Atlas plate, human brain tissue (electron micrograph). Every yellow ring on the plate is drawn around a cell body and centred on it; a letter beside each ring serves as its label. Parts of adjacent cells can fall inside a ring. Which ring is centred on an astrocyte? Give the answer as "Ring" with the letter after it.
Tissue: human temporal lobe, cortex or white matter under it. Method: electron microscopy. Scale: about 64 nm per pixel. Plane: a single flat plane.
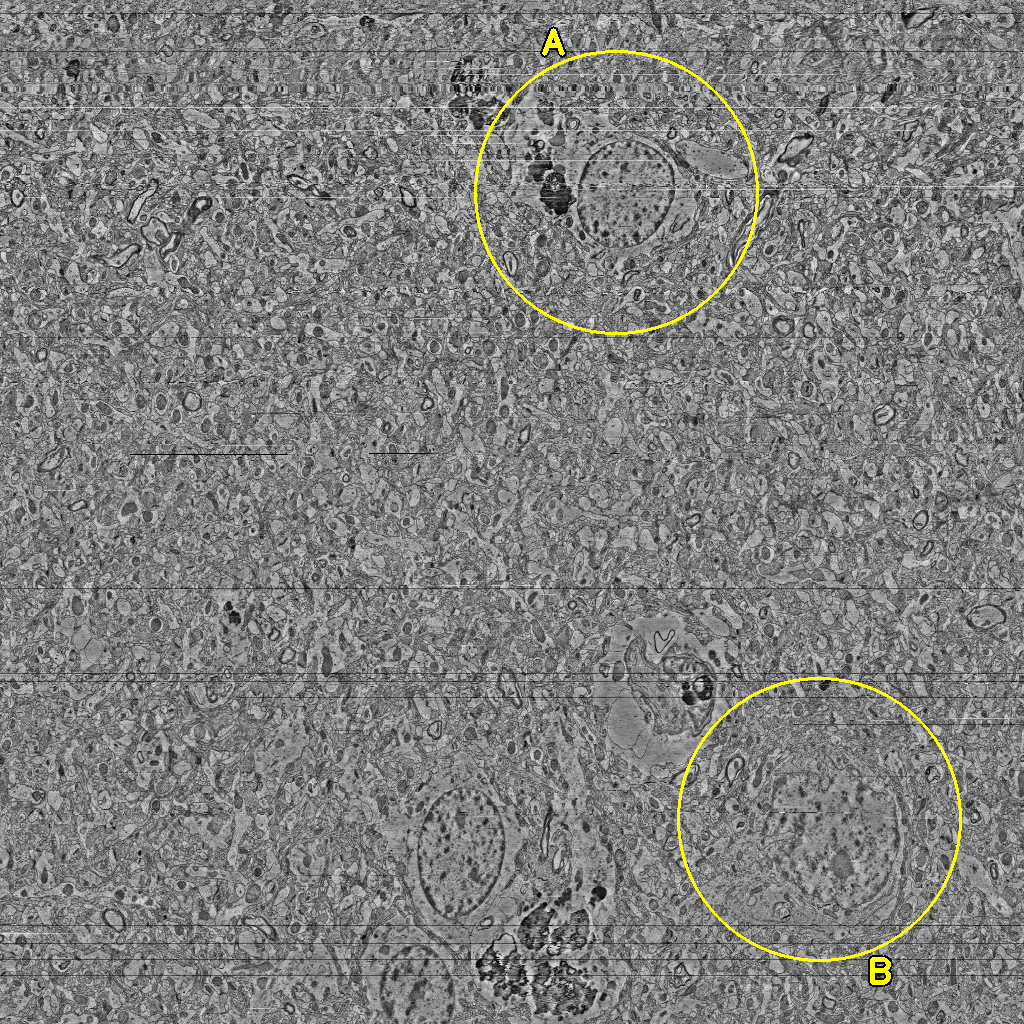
Ring A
